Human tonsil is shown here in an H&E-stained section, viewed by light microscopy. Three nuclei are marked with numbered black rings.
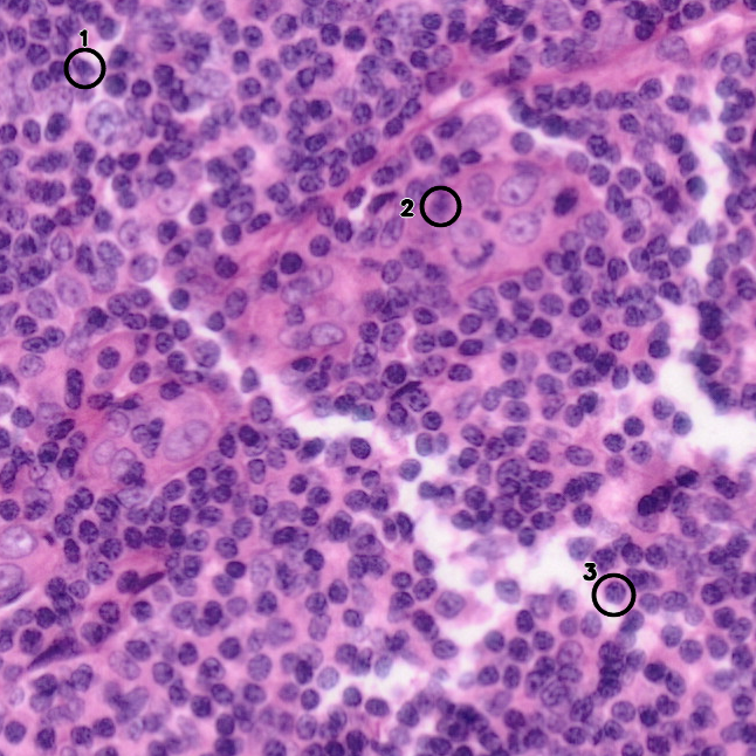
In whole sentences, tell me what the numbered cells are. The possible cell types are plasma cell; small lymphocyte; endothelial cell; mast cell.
Cells 1 and 3 are small lymphocytes. Cell 2 is an endothelial cell.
